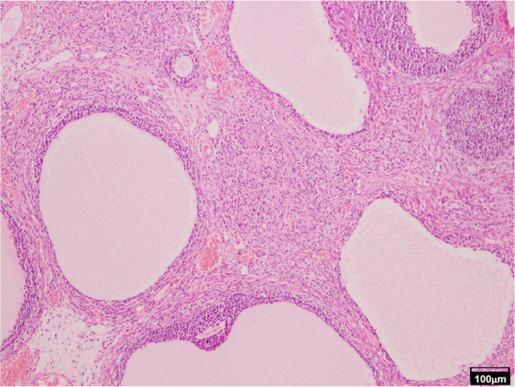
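This is a section of ovary stained with hematoxylin and eosin, dominated by several very large, rounded cavities filled with pale, even pink fluid. Between the cavities lies a dense stroma of spindle-shaped cells, containing a few small follicles and small red vessels filled with blood. In the upper right there are compact clusters of darkly stained cells with crowded nuclei.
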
